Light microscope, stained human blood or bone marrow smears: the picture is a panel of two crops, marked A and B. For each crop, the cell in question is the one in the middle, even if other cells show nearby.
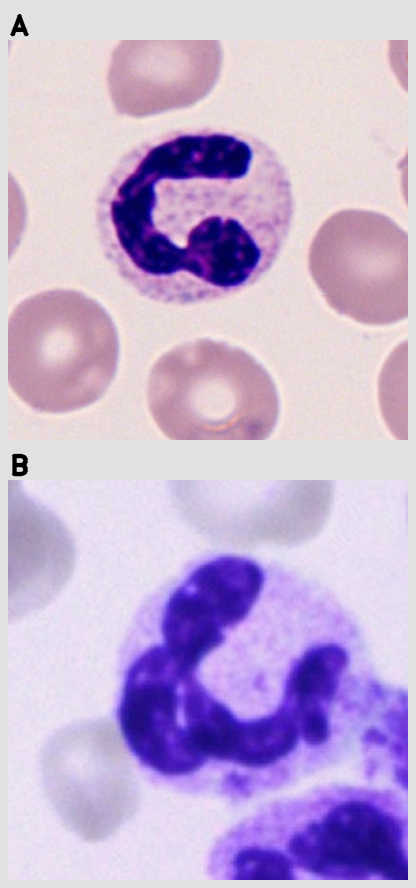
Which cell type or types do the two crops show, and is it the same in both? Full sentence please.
Yes, both crops show a cell each, and these are segmented neutrophils.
